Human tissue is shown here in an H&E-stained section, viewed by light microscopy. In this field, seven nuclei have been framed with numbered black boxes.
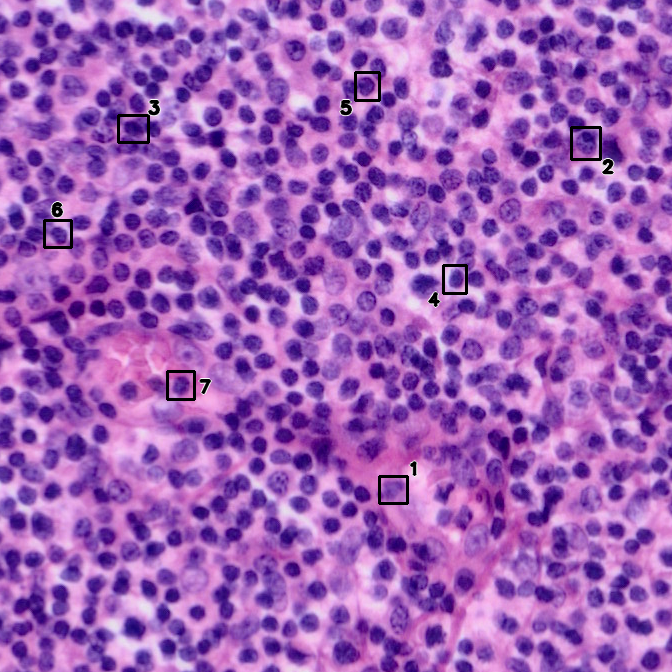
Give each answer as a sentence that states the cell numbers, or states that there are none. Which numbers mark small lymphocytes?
The cells numbered 3, 4, 5 and 6 are identified as small lymphocytes.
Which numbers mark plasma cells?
Of the cells bearing numbers, the only one that is a plasma cell is cell 2.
